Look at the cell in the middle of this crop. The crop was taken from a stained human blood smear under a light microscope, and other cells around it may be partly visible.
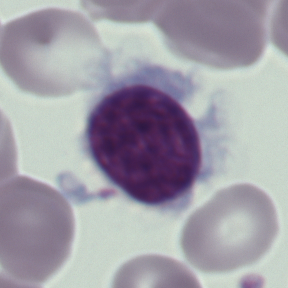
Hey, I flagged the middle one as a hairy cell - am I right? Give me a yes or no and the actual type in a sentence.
Yes, what sits in the middle of the crop is a hairy cell.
